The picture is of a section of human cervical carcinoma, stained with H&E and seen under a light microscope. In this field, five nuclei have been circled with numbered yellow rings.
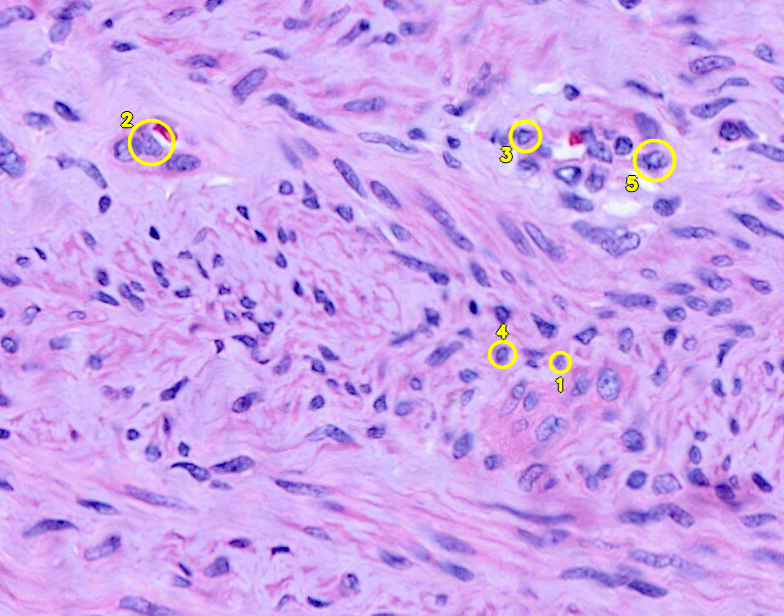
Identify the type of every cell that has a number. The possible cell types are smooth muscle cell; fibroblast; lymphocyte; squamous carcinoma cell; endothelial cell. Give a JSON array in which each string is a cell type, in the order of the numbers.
["smooth muscle cell", "endothelial cell", "smooth muscle cell", "smooth muscle cell", "endothelial cell"]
